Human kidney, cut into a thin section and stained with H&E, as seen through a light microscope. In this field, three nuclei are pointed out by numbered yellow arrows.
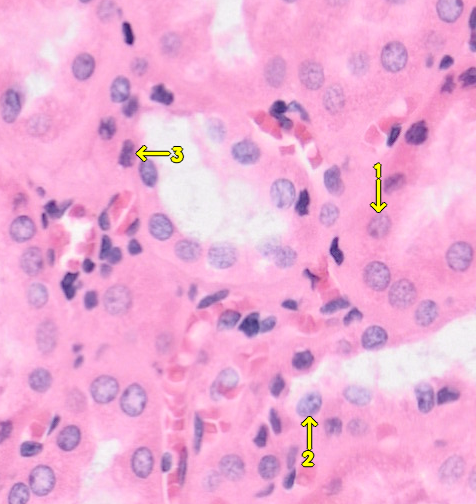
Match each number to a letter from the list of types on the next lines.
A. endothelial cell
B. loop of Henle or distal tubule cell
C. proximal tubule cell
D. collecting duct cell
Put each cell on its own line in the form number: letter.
1: C
2: B
3: B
